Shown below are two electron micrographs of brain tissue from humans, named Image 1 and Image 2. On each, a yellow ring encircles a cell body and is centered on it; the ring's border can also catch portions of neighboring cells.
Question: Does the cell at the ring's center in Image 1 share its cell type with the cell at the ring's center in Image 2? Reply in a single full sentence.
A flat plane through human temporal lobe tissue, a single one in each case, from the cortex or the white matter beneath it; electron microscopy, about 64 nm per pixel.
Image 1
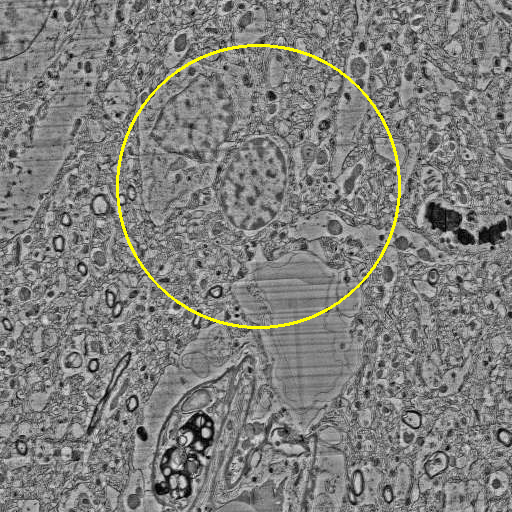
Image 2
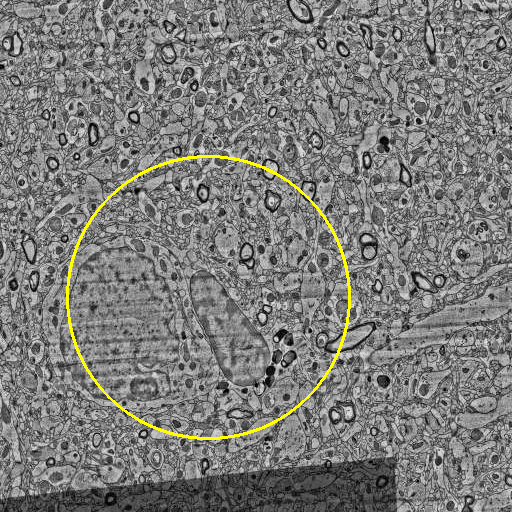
Yes, the two cells at the ring centers, in Image 1 and Image 2, share one cell type.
